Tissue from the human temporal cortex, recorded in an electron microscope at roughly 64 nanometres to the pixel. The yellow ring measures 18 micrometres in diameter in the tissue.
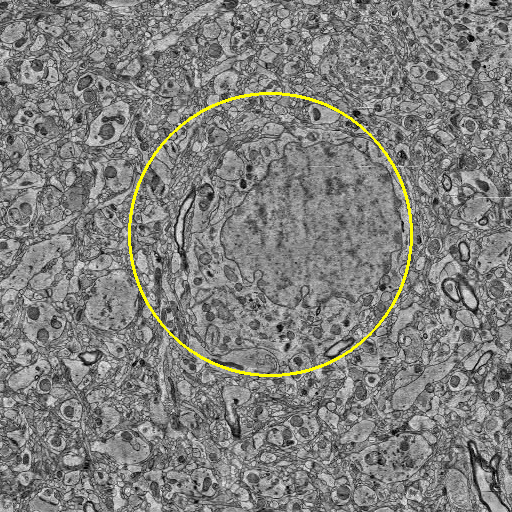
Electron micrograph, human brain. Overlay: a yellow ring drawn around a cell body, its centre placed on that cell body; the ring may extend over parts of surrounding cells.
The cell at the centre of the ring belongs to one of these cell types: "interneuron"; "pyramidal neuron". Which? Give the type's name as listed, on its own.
interneuron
